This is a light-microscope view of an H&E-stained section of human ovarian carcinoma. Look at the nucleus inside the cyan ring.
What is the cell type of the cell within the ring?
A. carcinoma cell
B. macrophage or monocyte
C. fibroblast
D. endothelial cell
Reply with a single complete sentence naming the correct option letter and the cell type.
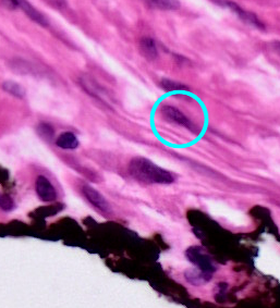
The accurate option is C, with the cell within the ring being a fibroblast.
